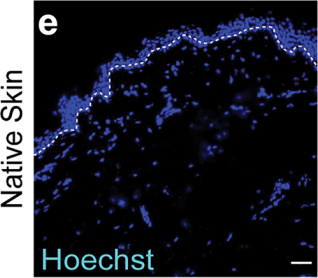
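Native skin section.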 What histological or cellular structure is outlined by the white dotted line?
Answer: dermal/epidermal junction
